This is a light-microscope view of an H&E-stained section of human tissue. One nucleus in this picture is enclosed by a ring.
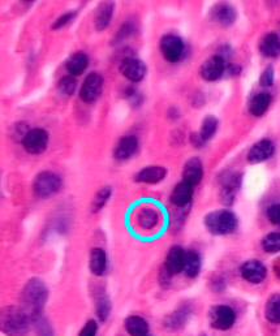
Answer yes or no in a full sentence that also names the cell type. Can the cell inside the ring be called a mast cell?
Yes, with respect to cell type, the cell inside the ring is a mast cell.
